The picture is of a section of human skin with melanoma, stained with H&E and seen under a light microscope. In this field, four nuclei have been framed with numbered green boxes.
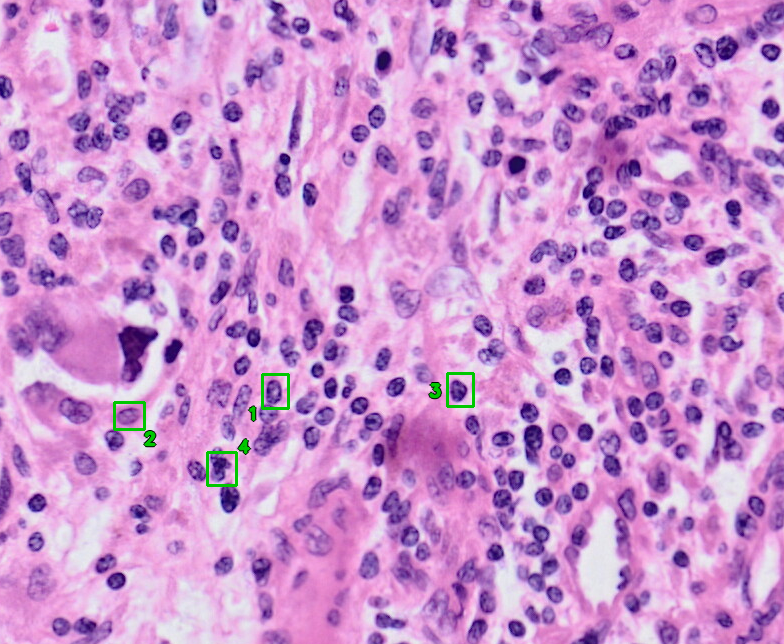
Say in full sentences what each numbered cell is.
Cell 1 is a lymphocyte, cell 2 is a macrophage or monocyte, cell 3 is a lymphocyte and cell 4 is a lymphocyte.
